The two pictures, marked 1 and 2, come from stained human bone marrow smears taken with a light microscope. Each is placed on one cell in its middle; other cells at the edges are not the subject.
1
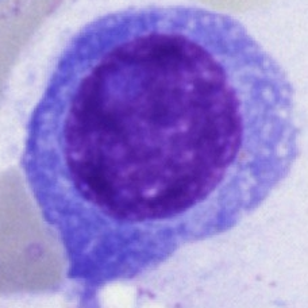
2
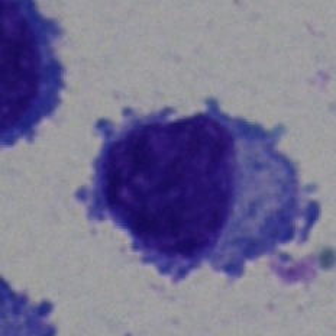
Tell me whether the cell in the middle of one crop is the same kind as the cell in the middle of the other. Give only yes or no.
yes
